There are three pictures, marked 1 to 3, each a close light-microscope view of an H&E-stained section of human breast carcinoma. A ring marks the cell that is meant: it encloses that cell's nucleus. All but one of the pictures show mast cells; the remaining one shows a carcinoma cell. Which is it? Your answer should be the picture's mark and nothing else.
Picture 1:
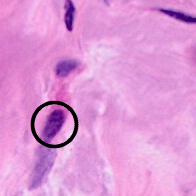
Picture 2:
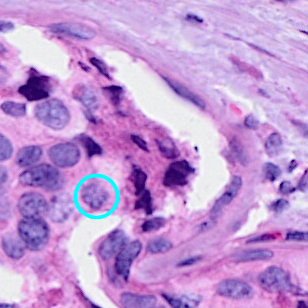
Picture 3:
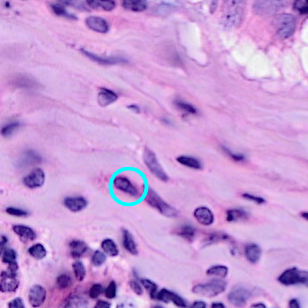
2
